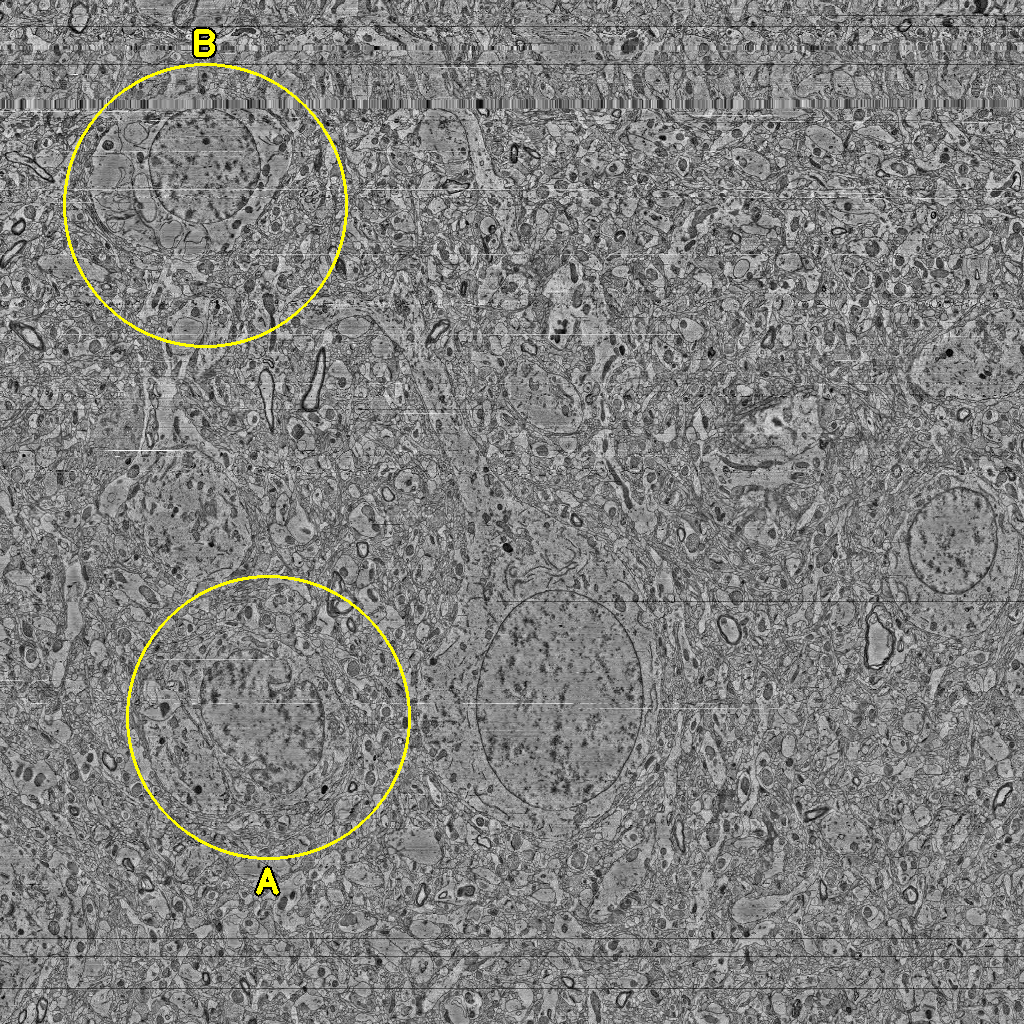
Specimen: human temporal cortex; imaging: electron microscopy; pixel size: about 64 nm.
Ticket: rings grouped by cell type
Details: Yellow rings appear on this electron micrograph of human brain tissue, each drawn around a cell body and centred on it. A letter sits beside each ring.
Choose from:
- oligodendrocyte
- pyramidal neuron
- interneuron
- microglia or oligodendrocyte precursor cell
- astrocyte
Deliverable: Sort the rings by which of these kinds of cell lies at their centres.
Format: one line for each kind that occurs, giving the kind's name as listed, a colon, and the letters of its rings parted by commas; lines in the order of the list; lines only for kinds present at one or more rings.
interneuron: A
astrocyte: B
